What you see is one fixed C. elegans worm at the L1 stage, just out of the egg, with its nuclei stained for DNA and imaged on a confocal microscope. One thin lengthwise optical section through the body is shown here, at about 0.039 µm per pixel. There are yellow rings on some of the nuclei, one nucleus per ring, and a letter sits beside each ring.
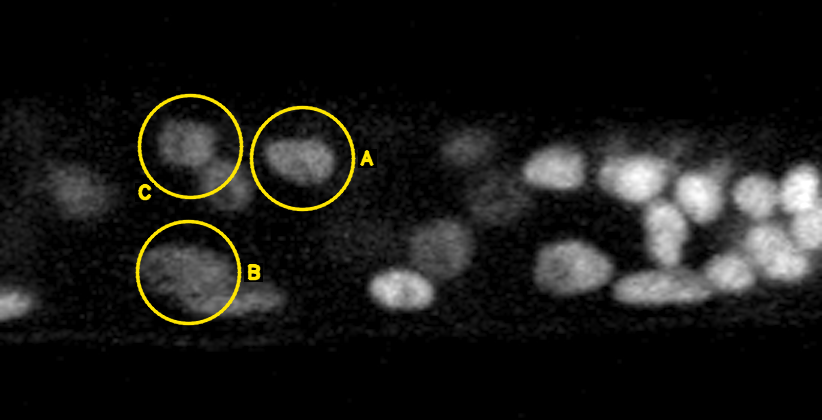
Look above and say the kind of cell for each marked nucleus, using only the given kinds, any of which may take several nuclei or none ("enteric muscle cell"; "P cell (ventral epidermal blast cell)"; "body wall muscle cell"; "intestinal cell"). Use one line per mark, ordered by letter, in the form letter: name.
A: P cell (ventral epidermal blast cell)
B: intestinal cell
C: body wall muscle cell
